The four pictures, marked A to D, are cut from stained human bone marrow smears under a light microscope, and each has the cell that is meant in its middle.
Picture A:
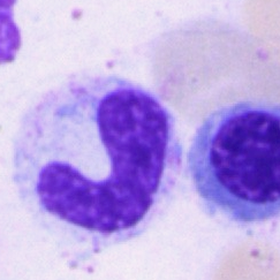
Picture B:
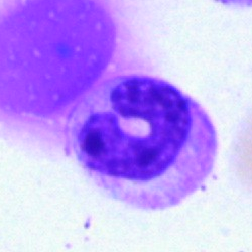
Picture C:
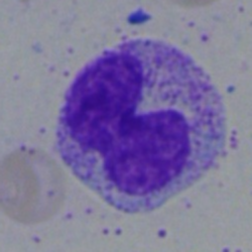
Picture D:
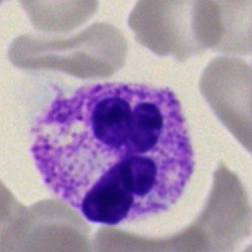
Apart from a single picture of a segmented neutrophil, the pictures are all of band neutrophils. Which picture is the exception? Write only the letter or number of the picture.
D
